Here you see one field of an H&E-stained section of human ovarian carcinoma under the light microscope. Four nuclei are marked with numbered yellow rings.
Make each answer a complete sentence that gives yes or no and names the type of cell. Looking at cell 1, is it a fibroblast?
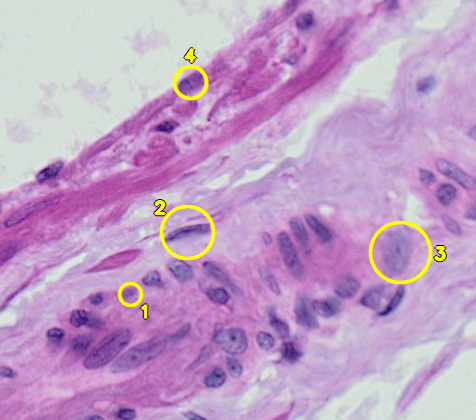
No, cell 1 should be read as a smooth muscle cell instead of a fibroblast.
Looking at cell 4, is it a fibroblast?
No, it is not a fibroblast that bears number 4 but an endothelial cell.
